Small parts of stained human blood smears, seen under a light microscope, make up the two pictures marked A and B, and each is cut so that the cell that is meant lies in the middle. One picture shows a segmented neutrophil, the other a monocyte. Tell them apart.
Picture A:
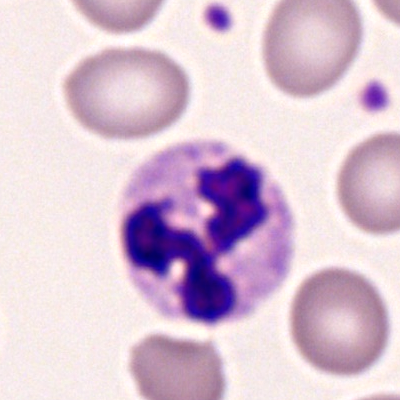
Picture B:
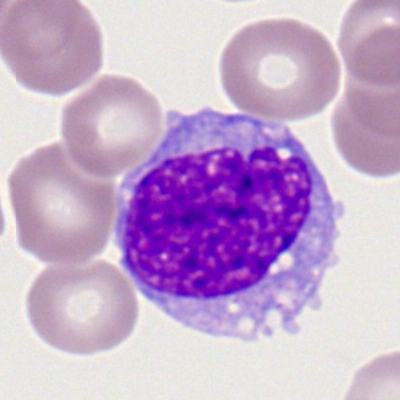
A: segmented neutrophil
B: monocyte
